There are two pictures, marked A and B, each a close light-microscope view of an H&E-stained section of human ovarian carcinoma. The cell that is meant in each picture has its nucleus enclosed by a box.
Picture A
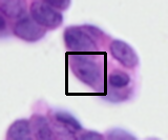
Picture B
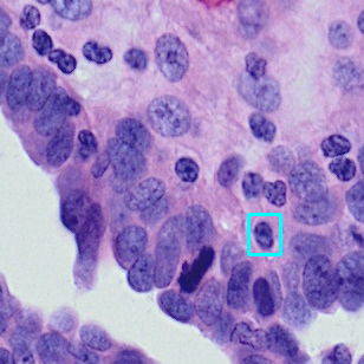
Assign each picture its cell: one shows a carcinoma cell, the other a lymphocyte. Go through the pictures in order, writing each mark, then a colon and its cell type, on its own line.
A: carcinoma cell
B: lymphocyte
